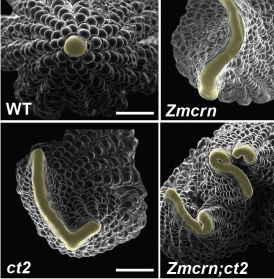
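Scanning electron micrographs show maize ear primordia densely covered with small rounded primordia. One ear ends in a small round dome at its tip, whereas in the others the yellow-shaded tip is stretched into a long curved band or split into several separate bands, showing fasciation.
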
